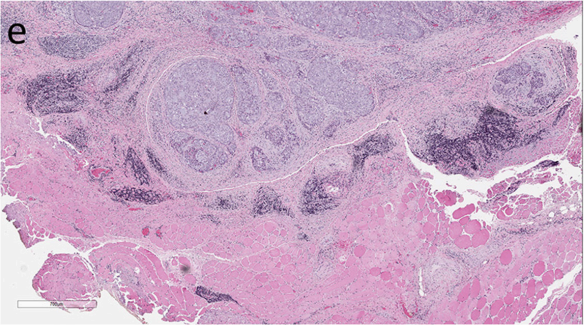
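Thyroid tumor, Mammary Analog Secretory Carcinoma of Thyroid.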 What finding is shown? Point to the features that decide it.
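Rounded nests of tumor cells sit in fibrous tissue. Pink cut skeletal muscle fibres lie in the lower part beside the tumor nests. So: extrathyroidal extension into surrounding skeletal muscle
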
